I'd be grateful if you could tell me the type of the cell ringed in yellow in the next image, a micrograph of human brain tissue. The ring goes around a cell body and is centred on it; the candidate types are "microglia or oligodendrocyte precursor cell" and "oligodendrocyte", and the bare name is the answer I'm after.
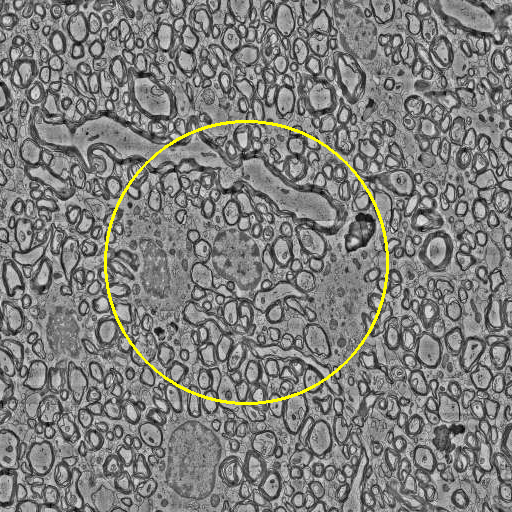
microglia or oligodendrocyte precursor cell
